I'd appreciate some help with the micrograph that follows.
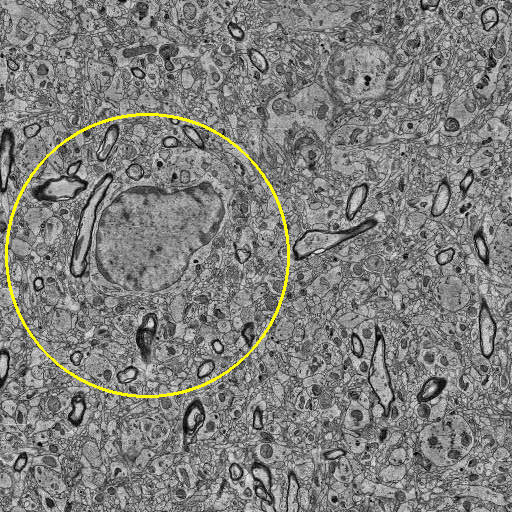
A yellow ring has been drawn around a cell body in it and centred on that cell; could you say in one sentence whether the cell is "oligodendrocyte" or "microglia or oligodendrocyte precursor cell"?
It is a microglial cell or oligodendrocyte precursor cell at the centre of the ring.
